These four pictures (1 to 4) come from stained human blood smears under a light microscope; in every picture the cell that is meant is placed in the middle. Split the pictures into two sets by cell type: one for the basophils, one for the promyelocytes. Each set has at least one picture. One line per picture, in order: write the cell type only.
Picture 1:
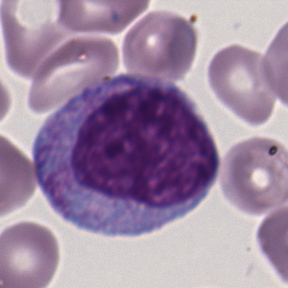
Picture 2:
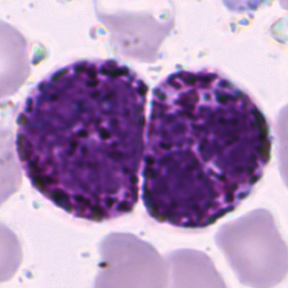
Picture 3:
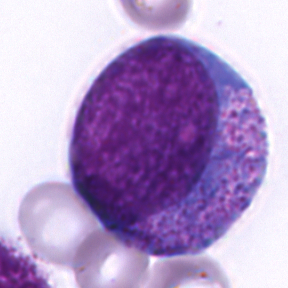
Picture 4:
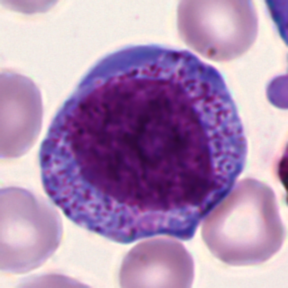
promyelocyte
basophil
promyelocyte
promyelocyte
